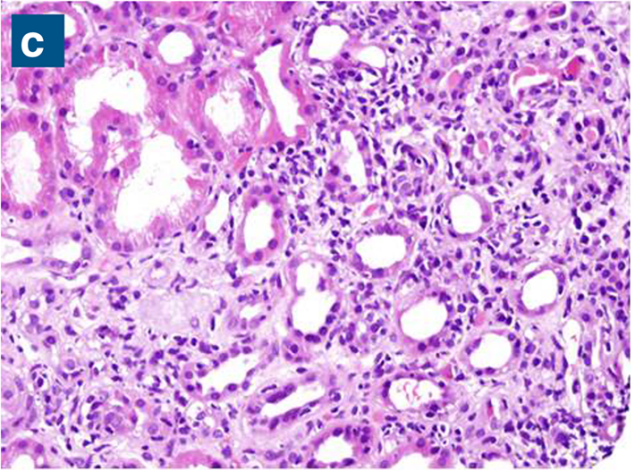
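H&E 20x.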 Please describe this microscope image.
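This section of renal cortex shows tubules separated by a dense interstitial inflammatory infiltrate. The tubules have pink cytoplasm and open lumens, and some lining cells are thinned. A few red blood cells are seen in small spaces between the tubules. The tubules are pushed apart by the cellular infiltrate.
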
